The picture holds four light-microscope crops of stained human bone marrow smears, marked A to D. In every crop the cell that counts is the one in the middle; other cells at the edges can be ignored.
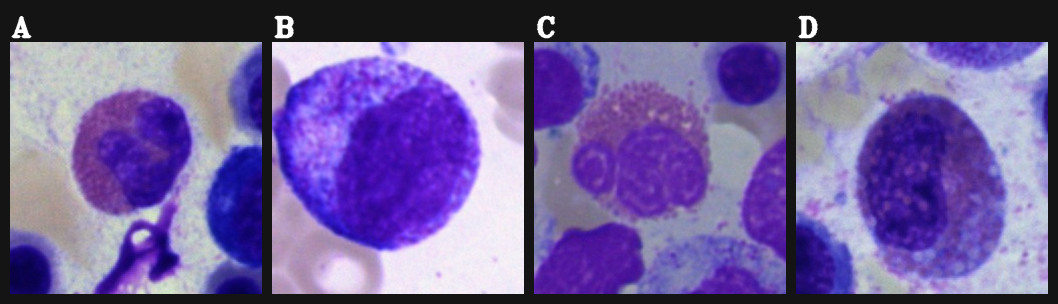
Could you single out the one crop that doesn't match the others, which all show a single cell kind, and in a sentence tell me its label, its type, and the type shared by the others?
Excluding crop B, which is a promyelocyte, the crops all show eosinophils.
